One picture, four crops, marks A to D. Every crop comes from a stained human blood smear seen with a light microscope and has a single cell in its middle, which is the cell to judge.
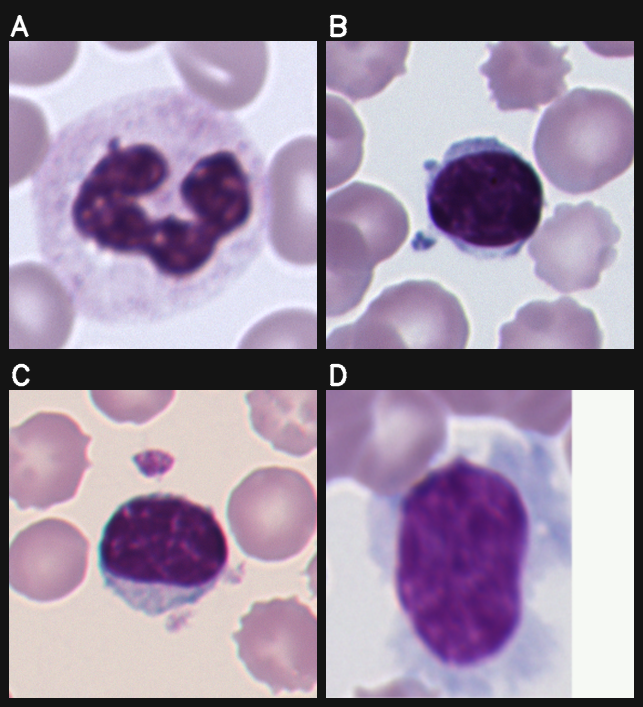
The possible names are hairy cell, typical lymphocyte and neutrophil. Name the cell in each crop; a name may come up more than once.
A: neutrophil
B: typical lymphocyte
C: typical lymphocyte
D: hairy cell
